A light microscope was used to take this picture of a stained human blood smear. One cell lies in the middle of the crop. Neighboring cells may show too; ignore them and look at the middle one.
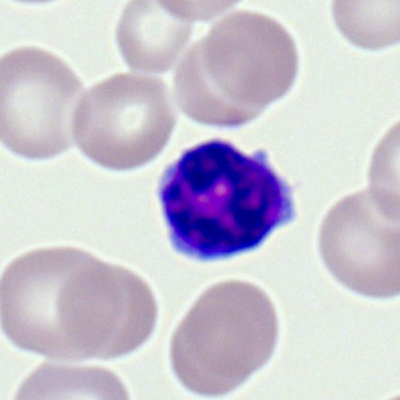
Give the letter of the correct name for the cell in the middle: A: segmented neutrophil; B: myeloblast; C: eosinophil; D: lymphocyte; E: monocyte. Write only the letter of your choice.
D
